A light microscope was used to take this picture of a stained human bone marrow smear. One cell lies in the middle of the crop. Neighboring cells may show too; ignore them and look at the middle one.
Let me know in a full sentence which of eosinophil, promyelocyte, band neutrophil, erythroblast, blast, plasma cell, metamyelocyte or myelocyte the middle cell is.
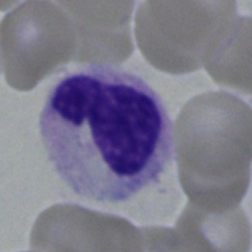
For this crop, the cell in the middle is a band neutrophil.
